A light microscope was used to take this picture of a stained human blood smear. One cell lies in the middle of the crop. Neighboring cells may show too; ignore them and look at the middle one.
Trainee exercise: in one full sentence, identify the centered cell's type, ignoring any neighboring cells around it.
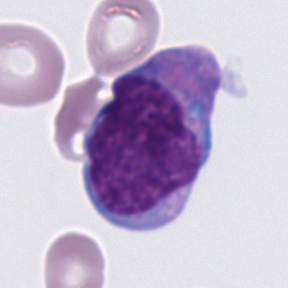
The centrally located cell in the crop is an atypical promyelocyte.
